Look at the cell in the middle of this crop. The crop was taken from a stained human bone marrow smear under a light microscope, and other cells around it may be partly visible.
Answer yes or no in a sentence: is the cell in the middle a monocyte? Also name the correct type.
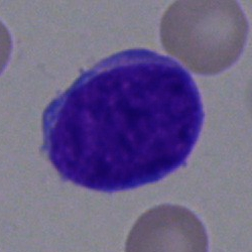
No, the central cell is a blast, not a monocyte.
